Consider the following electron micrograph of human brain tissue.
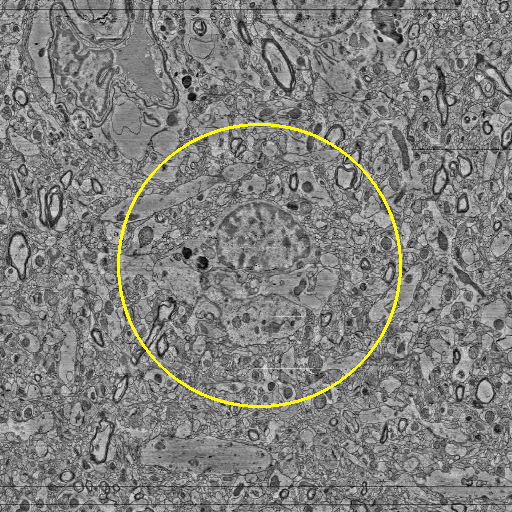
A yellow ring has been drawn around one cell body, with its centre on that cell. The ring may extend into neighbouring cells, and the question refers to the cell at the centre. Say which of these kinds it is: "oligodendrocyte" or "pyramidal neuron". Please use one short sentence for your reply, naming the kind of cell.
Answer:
The centre of the ring falls on an oligodendrocyte.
